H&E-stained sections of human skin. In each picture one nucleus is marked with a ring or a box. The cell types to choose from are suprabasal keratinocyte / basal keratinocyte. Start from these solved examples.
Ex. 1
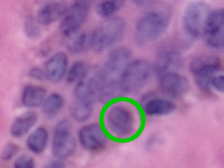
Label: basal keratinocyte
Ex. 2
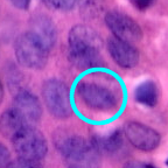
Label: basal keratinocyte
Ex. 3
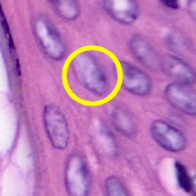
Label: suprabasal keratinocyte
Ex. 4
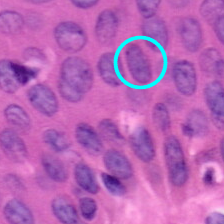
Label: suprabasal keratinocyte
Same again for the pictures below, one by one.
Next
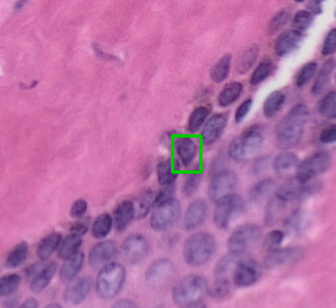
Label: basal keratinocyte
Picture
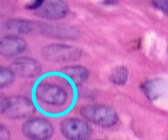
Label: suprabasal keratinocyte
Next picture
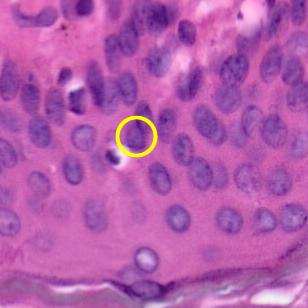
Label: basal keratinocyte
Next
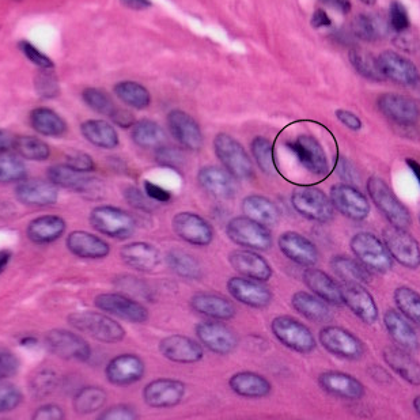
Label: basal keratinocyte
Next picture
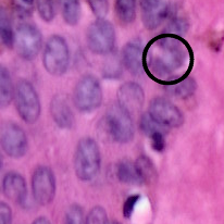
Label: basal keratinocyte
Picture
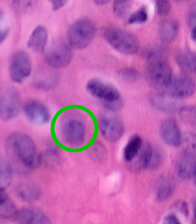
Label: basal keratinocyte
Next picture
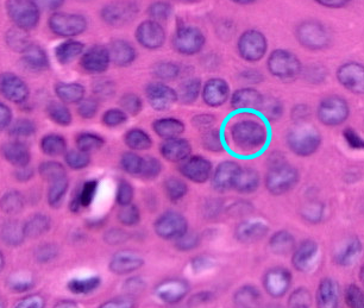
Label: suprabasal keratinocyte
